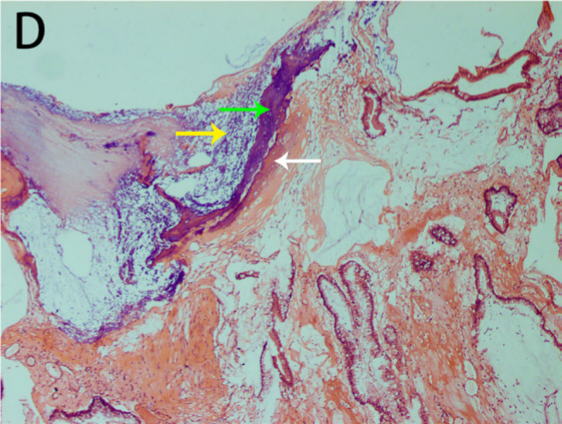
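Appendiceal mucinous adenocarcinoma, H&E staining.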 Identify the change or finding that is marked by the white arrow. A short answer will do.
A formation of osseous matrix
